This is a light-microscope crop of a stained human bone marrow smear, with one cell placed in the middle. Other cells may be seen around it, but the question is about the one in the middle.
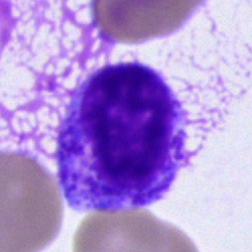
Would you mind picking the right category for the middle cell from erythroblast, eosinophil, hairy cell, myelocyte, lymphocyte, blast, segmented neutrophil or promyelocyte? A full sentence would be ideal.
In the centre of this crop there is a myelocyte.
